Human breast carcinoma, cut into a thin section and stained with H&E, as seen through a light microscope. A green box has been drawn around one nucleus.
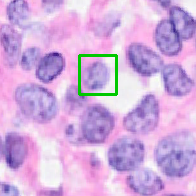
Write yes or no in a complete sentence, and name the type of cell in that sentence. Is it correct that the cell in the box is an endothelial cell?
No, the cell in the box counts as a carcinoma cell, not an endothelial cell.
